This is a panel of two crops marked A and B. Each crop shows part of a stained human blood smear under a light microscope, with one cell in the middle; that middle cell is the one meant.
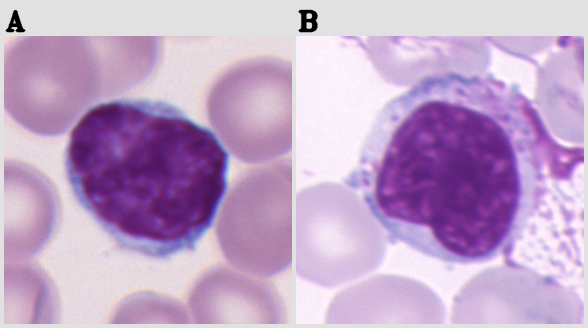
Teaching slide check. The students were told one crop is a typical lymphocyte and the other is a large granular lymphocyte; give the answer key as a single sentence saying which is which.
While crop A is a typical lymphocyte, crop B is a large granular lymphocyte.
